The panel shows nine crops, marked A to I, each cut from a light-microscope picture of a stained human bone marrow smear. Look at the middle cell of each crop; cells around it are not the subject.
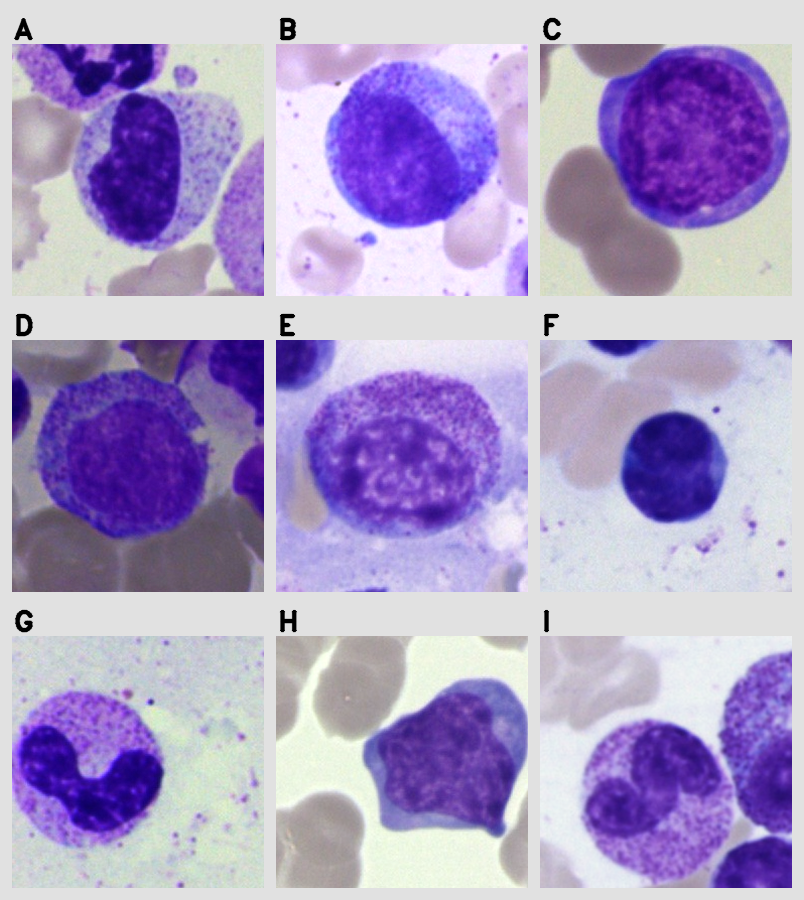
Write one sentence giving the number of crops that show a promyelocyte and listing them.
Since crops B, D and E show promyelocytes, the count of such crops is three.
